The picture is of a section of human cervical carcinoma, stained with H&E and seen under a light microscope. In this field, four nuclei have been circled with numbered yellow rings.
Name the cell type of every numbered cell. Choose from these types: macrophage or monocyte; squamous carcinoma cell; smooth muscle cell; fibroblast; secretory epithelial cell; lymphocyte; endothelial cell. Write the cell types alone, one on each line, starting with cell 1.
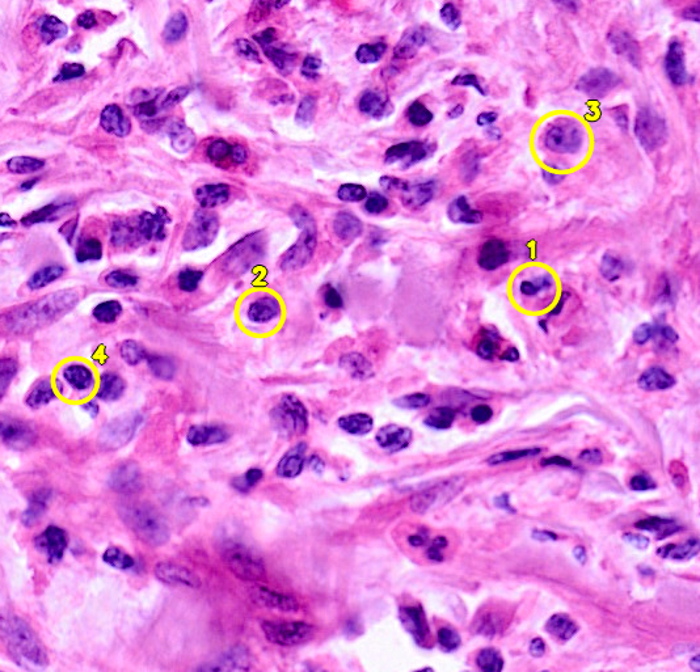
lymphocyte
lymphocyte
macrophage or monocyte
lymphocyte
